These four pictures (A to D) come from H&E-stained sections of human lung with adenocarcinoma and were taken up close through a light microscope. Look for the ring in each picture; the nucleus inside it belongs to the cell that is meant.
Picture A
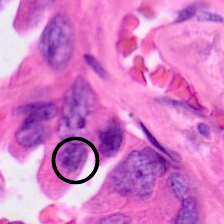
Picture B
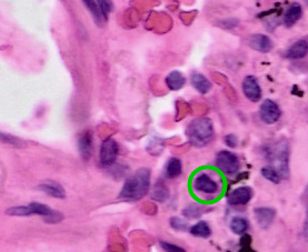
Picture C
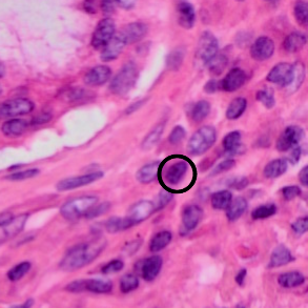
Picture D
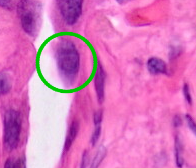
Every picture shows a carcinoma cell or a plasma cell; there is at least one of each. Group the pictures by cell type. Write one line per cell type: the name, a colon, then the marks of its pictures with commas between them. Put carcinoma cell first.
carcinoma cell: A, D
plasma cell: B, C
